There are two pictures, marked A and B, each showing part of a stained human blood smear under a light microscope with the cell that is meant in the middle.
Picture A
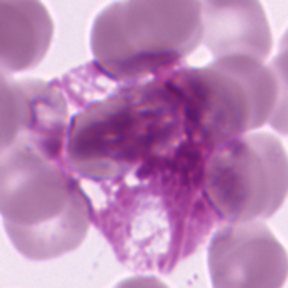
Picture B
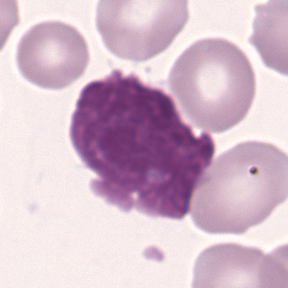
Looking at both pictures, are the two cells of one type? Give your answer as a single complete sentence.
Yes, both are smudge cells.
